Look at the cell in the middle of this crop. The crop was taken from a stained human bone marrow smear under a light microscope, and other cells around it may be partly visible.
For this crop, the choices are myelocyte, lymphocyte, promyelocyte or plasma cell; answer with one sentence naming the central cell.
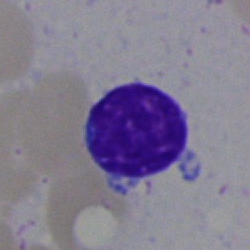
Among the cells in view, the one in the middle is a lymphocyte.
